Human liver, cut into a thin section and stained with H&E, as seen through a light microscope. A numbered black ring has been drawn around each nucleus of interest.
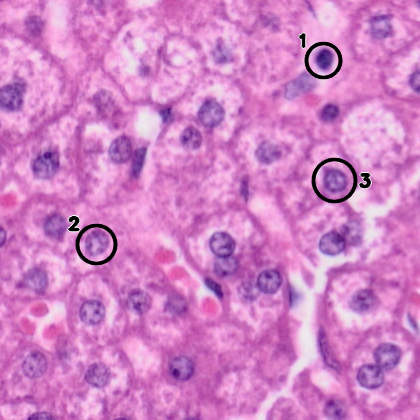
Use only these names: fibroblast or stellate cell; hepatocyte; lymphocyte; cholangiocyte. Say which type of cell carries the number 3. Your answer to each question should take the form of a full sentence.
Cell 3 in the field of view is a hepatocyte.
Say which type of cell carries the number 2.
The marked cell bearing number 2 is a hepatocyte.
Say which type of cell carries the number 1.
The cell referred to as 1 is a lymphocyte.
